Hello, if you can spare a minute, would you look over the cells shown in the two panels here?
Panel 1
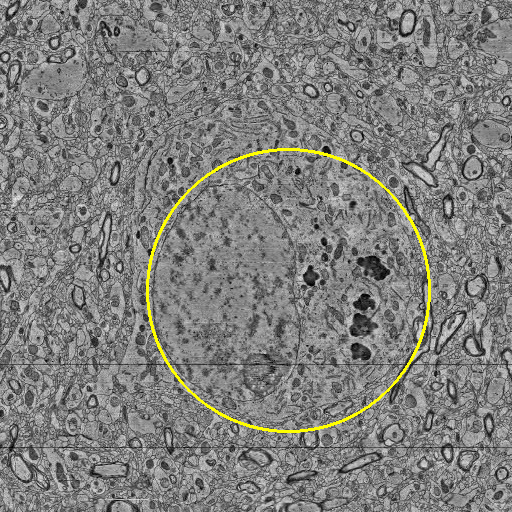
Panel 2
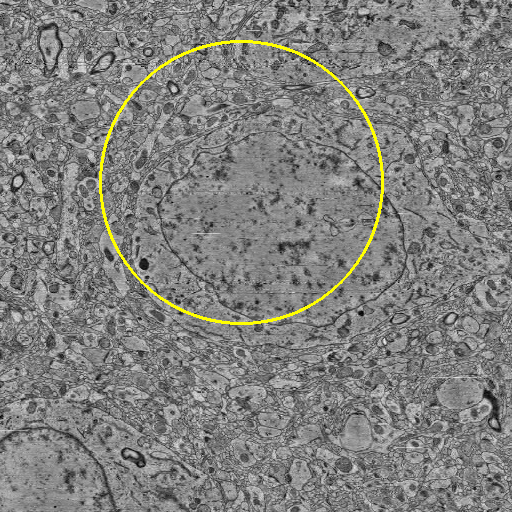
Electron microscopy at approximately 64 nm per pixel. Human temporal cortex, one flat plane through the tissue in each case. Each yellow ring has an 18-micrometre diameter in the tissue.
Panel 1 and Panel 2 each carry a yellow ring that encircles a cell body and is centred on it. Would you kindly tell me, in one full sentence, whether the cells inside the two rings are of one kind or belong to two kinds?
The cells at the centres of the rings in Panel 1 and Panel 2 belong to two kinds.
